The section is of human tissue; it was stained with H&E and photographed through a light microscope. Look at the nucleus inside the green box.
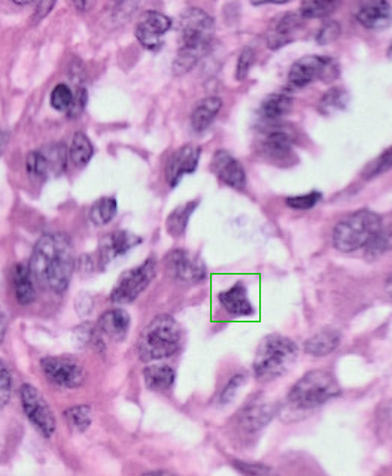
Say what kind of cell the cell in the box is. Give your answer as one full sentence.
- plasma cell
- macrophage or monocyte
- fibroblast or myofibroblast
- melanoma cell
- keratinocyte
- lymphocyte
Cell type answer for this item: the cell in the box is a melanoma cell.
